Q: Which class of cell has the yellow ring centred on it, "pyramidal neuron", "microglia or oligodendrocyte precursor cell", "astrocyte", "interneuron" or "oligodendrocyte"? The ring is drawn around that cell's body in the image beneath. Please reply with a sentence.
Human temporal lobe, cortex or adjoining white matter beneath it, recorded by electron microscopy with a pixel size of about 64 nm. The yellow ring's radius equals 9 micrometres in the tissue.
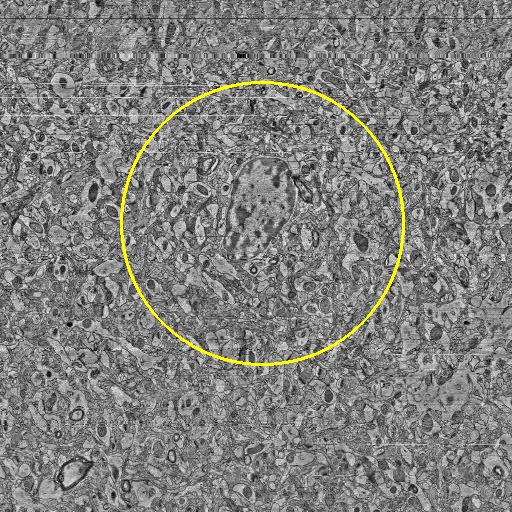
It is centred on a microglial cell or oligodendrocyte precursor cell.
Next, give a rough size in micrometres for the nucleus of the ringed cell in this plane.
The ringed cell's nucleus measures approximately 6 by 4 micrometres in this plane.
